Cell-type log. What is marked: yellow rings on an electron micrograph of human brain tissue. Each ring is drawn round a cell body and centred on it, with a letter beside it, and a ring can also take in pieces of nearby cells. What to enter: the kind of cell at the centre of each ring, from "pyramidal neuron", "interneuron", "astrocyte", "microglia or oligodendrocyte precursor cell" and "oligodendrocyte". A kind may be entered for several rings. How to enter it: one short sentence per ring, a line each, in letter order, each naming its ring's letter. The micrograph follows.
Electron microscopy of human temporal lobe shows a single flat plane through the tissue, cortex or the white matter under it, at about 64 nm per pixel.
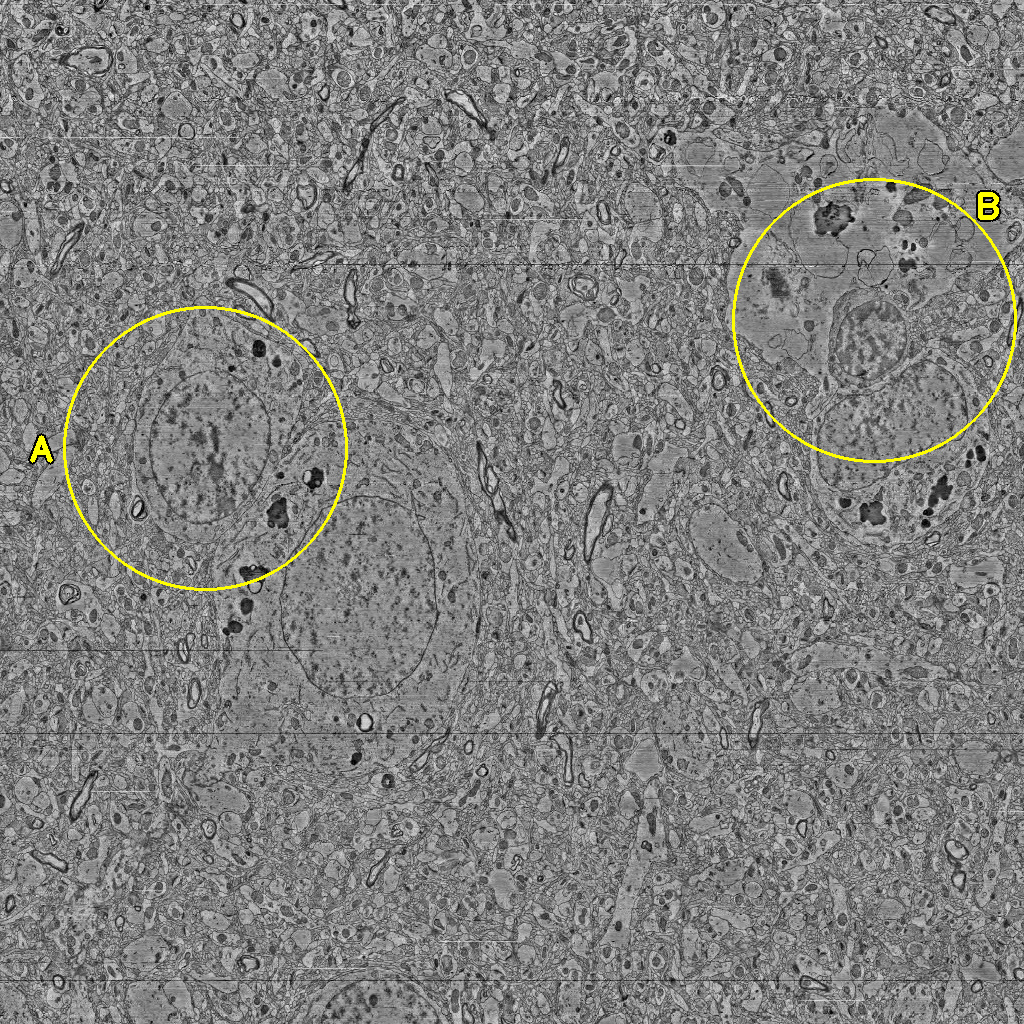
For ring A, the centre cell is a pyramidal neuron.
For ring B, the centre cell is an oligodendrocyte.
